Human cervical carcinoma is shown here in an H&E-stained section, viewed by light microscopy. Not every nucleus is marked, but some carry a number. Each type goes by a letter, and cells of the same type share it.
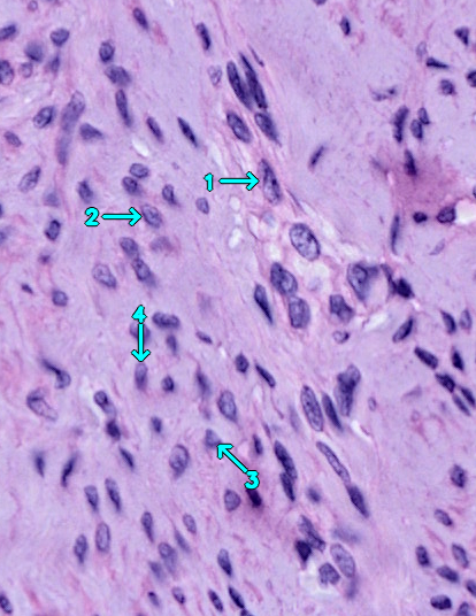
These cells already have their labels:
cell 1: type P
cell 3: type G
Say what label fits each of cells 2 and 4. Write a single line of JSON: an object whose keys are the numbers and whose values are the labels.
{"2": "type G", "4": "type G"}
